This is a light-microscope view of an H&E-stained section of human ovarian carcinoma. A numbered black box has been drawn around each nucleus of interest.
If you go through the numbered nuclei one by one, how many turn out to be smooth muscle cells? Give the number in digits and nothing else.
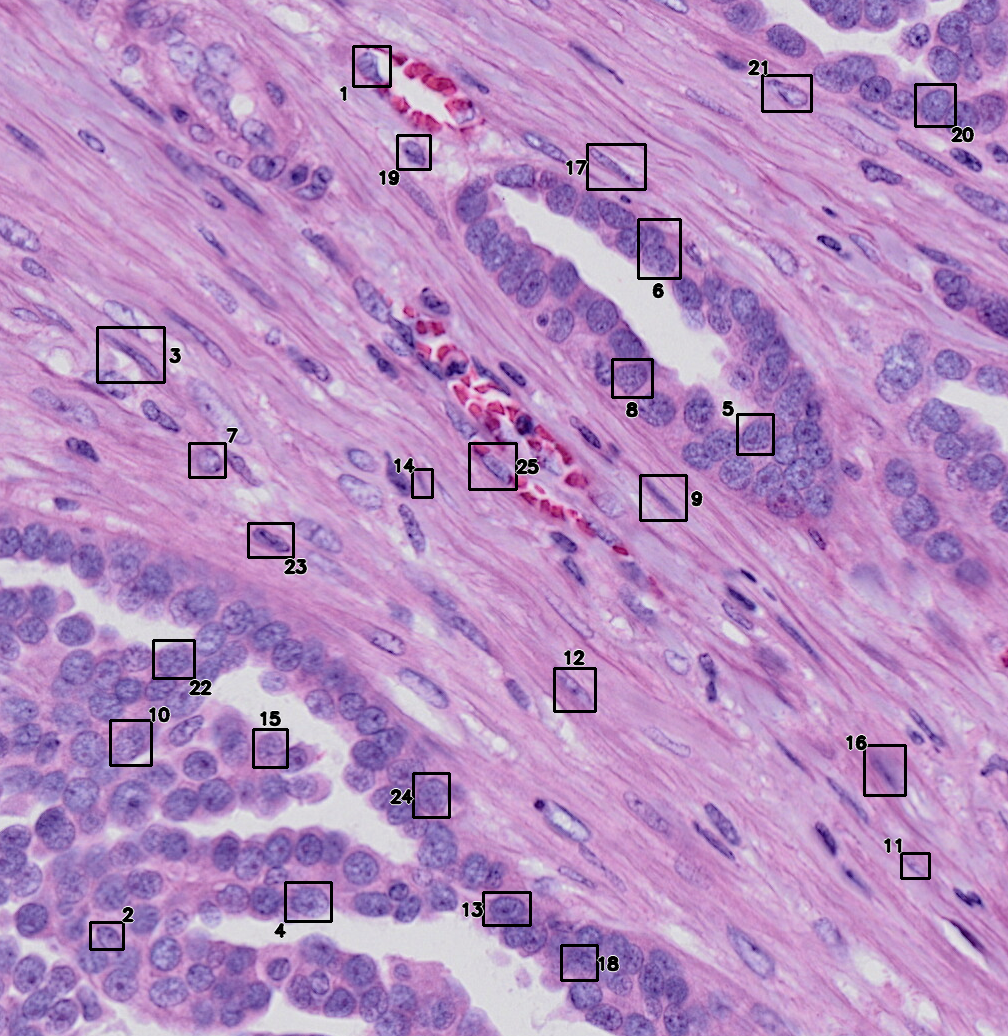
0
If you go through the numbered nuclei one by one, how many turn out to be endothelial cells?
2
